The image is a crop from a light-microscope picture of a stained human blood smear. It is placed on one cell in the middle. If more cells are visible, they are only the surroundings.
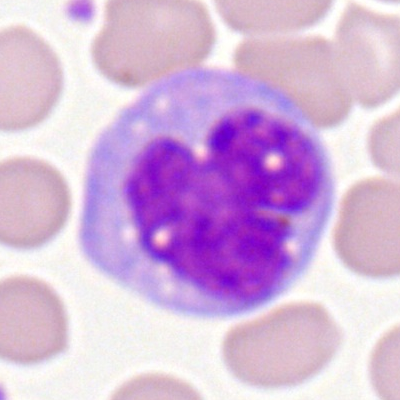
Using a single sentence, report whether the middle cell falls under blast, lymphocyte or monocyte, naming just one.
Here the cell in the middle is a monocyte.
